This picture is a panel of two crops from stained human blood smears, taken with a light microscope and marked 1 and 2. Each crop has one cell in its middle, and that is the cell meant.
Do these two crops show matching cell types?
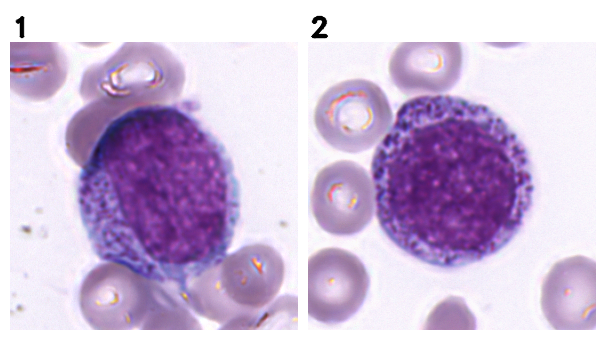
no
